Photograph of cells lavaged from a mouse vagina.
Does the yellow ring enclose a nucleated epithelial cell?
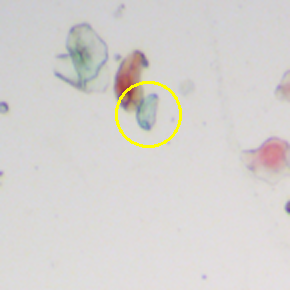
No. The ring encloses a cornified epithelial cell.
